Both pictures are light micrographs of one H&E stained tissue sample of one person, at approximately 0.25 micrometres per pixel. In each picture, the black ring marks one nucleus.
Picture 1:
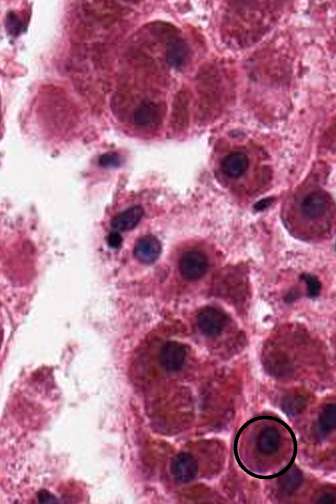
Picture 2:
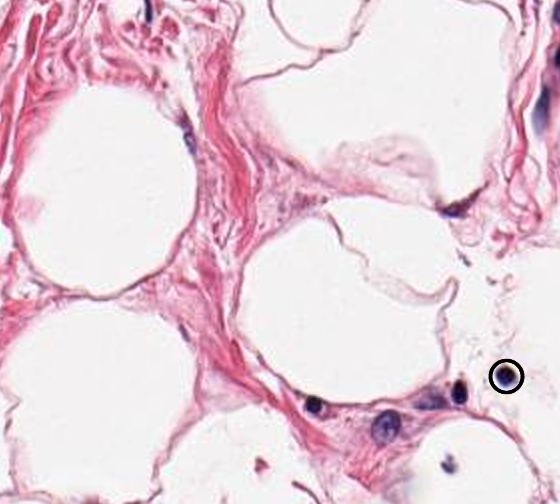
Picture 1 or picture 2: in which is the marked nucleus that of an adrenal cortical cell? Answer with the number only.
1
